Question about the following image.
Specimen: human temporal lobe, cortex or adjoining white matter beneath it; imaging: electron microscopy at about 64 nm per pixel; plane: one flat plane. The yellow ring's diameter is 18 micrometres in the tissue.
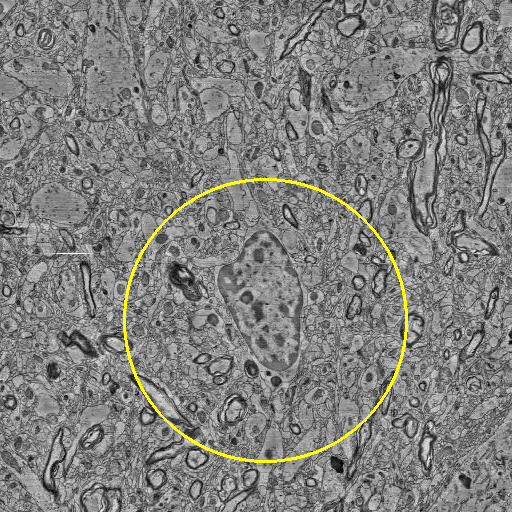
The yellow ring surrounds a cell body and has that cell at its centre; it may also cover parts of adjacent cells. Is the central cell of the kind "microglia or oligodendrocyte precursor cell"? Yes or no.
Yes, it is of that kind.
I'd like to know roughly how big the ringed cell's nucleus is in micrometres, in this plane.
The nucleus of the ringed cell is approximately 9 by 5 micrometres in this plane.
